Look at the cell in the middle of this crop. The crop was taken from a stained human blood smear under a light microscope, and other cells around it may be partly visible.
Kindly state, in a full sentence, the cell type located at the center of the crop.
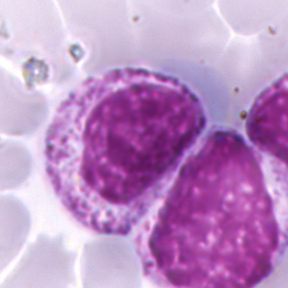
The crop centres on a single cell, and that cell is a myelocyte.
